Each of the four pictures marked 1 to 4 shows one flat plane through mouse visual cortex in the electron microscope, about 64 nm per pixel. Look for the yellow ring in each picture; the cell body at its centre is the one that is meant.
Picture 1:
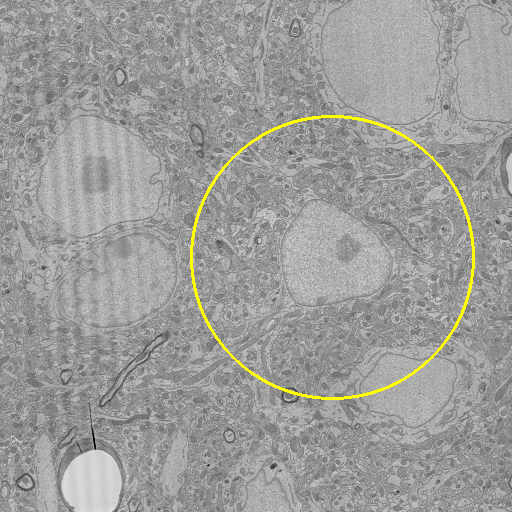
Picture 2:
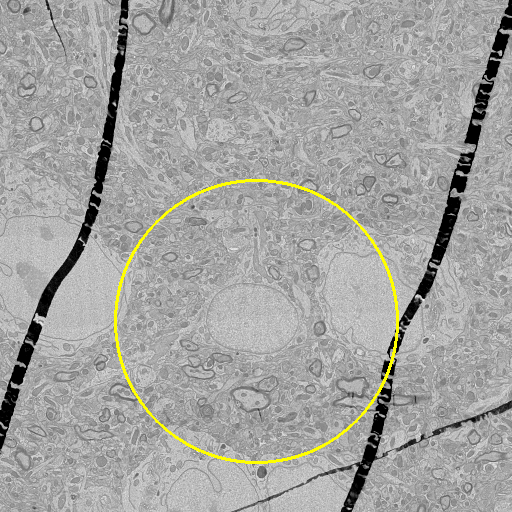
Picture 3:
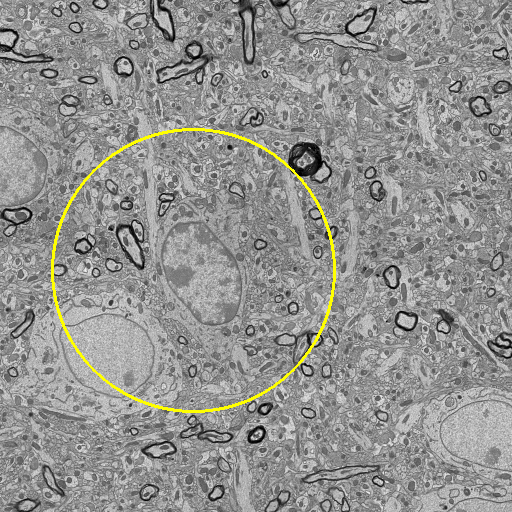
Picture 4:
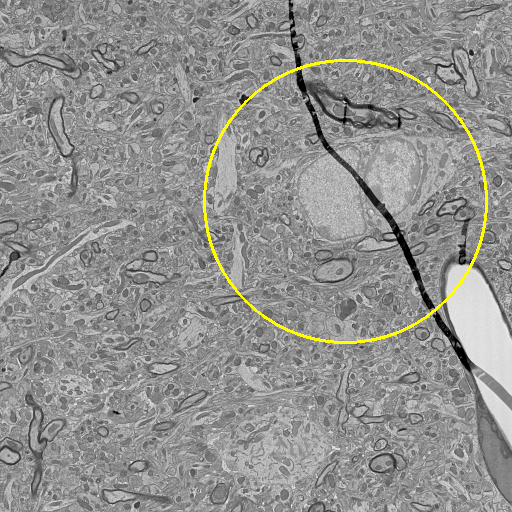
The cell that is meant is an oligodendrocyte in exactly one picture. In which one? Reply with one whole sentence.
The picture with the oligodendrocyte is 3.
